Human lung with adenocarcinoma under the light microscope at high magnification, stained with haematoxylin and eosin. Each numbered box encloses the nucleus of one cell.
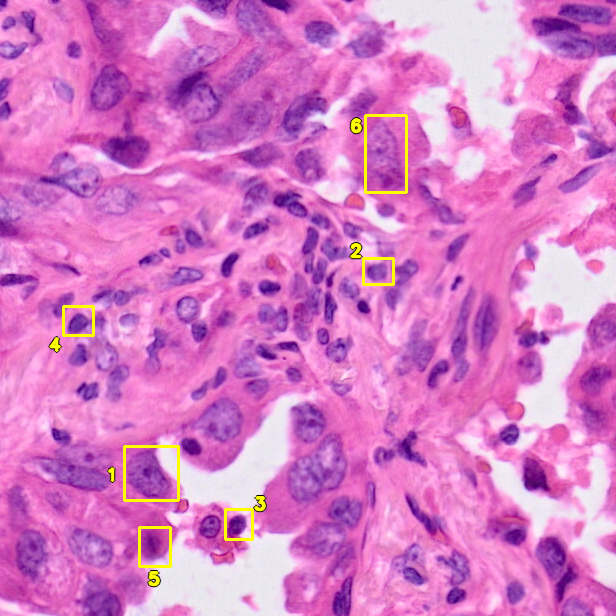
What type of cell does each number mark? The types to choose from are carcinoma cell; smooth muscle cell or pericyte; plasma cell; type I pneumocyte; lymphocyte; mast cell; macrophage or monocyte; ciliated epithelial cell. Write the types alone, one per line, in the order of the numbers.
carcinoma cell
lymphocyte
lymphocyte
lymphocyte
carcinoma cell
carcinoma cell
